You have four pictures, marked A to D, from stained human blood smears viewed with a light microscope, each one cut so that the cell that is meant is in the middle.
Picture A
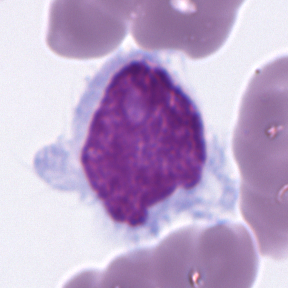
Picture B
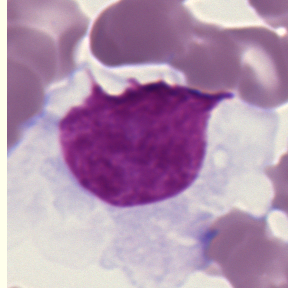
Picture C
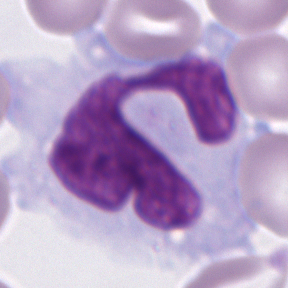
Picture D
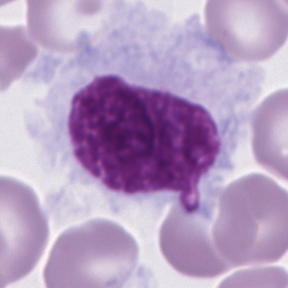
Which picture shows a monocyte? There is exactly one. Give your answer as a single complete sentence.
Picture C shows the monocyte.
